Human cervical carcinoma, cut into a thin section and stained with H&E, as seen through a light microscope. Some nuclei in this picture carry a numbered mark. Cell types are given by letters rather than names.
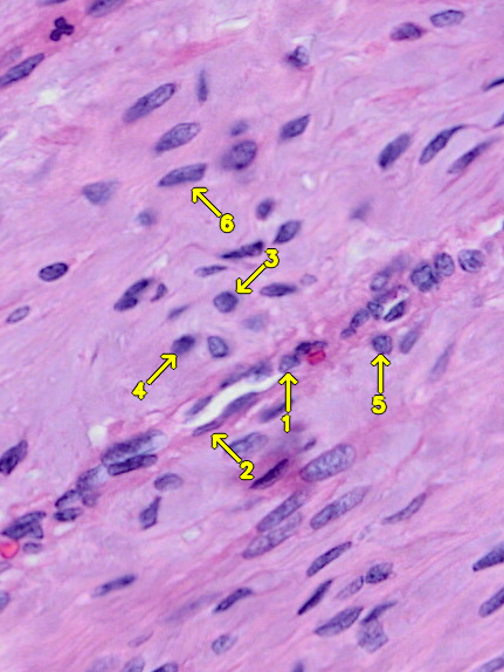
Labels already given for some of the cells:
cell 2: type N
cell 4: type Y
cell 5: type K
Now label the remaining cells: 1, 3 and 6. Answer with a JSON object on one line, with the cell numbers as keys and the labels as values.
{"1": "type N", "3": "type Y", "6": "type Y"}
